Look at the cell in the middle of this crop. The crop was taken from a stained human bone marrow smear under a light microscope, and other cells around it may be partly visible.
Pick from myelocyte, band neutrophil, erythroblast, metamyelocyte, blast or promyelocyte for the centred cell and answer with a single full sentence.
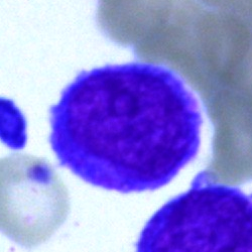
Within this crop, a blast occupies the central position.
